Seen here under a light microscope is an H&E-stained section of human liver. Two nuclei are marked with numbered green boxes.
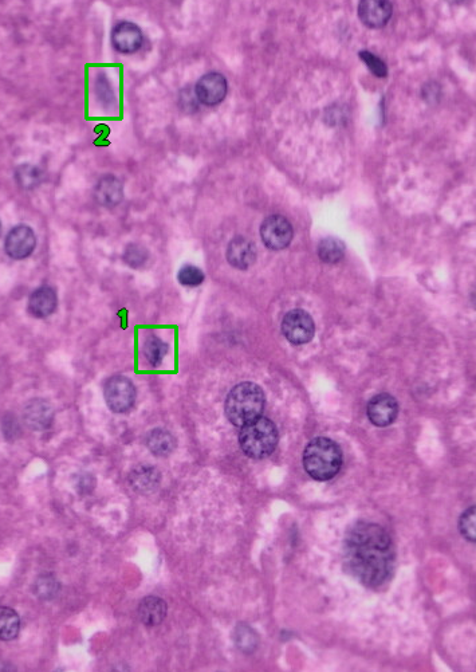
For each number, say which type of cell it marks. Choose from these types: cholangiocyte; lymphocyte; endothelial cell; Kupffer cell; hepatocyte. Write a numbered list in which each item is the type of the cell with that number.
1. endothelial cell
2. Kupffer cell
